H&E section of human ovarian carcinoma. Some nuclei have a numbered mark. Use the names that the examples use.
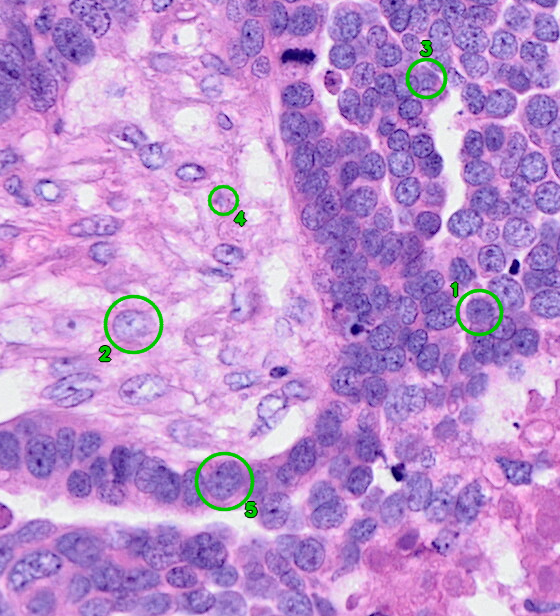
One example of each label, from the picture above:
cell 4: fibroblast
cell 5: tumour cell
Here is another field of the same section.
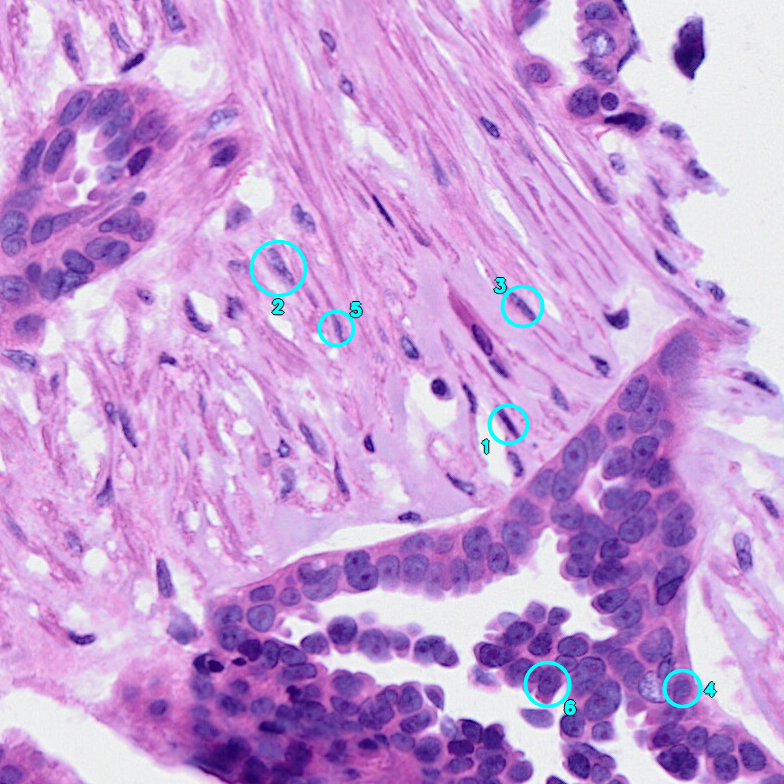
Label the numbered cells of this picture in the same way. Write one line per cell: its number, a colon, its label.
1: fibroblast
2: fibroblast
3: fibroblast
4: tumour cell
5: fibroblast
6: tumour cell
